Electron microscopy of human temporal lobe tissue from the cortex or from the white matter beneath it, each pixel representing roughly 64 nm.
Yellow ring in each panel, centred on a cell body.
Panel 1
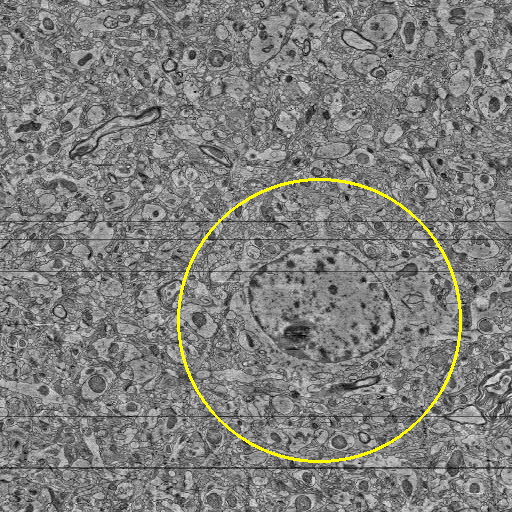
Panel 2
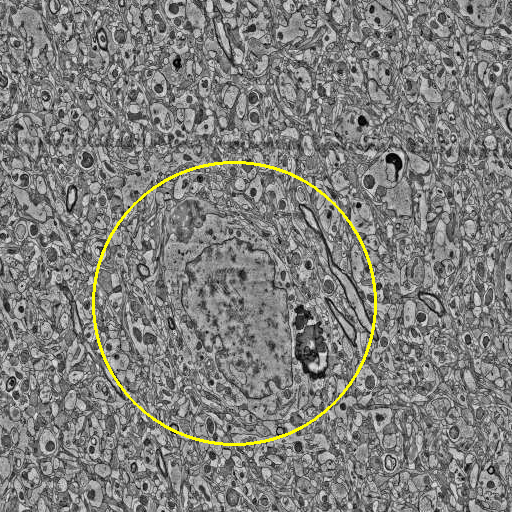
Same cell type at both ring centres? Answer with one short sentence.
No, the two cells are of two types.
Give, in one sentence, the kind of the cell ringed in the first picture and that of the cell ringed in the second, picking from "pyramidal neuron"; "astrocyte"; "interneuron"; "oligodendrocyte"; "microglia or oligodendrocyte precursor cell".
For the first picture it is an astrocyte; for the second, an interneuron.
